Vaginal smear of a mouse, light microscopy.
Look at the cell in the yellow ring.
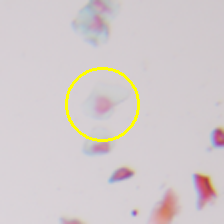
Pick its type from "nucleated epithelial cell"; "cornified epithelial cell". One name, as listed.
nucleated epithelial cell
